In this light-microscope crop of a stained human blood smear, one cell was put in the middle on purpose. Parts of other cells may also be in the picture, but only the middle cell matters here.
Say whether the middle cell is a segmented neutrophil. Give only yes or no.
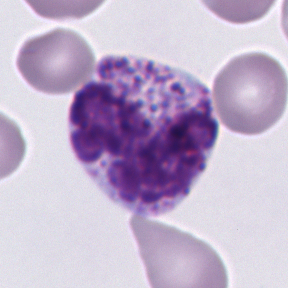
no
